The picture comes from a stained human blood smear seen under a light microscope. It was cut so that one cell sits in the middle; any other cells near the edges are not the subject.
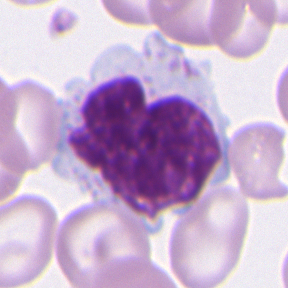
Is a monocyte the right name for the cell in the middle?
no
